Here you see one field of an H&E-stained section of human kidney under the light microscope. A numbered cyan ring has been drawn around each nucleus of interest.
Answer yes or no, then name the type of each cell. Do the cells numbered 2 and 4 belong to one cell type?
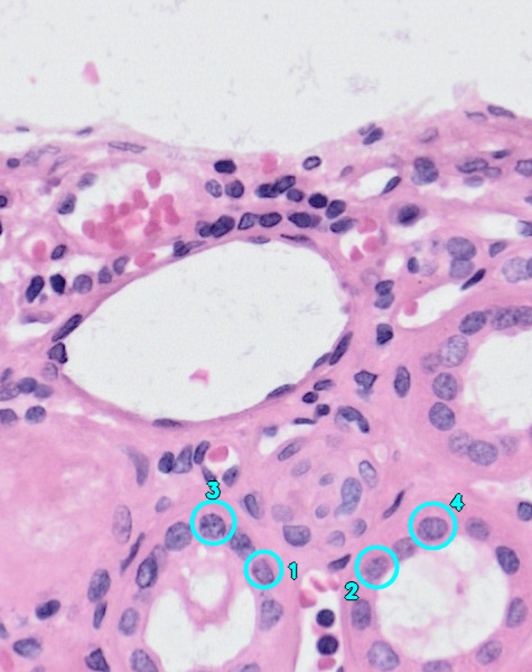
Yes, the cell labelled 2 and the cell labelled 4 are both loop of Henle or distal tubule cells.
